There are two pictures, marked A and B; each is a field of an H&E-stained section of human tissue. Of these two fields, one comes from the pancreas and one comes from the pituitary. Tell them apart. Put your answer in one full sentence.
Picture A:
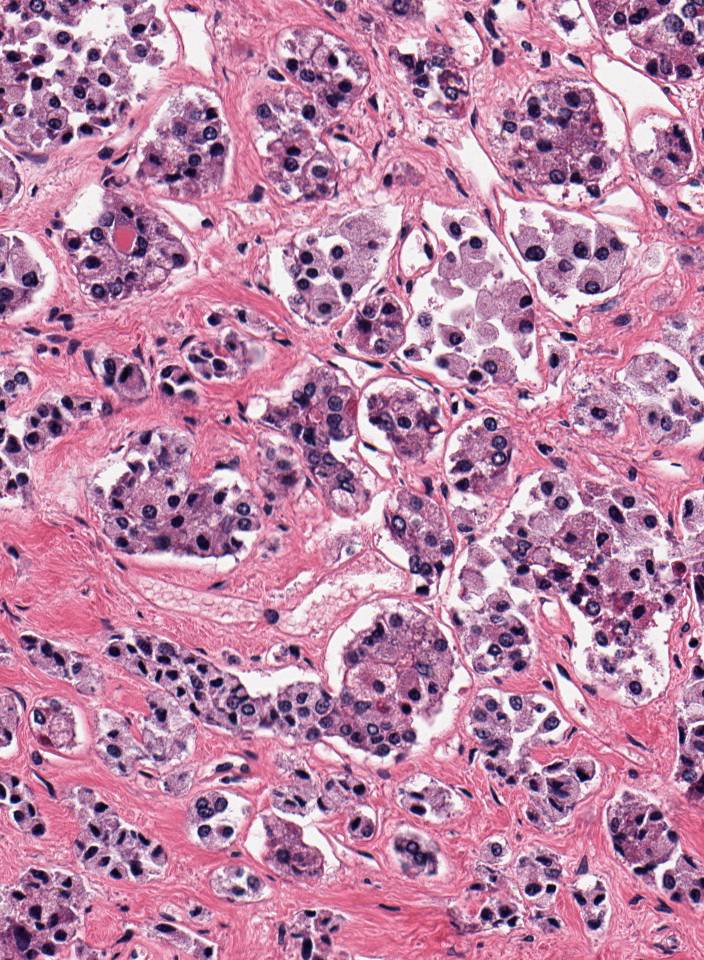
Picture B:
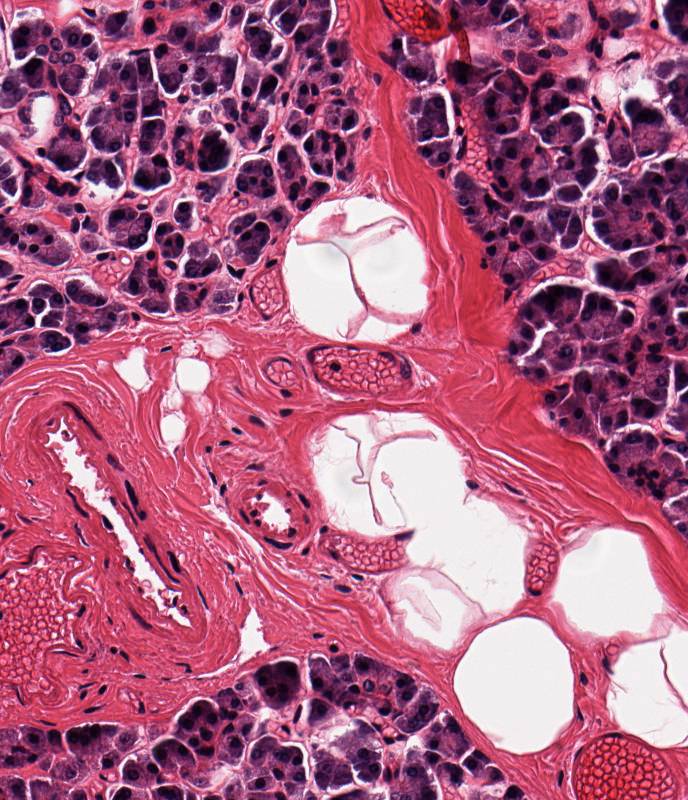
Picture A comes from the pituitary; picture B comes from the pancreas.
